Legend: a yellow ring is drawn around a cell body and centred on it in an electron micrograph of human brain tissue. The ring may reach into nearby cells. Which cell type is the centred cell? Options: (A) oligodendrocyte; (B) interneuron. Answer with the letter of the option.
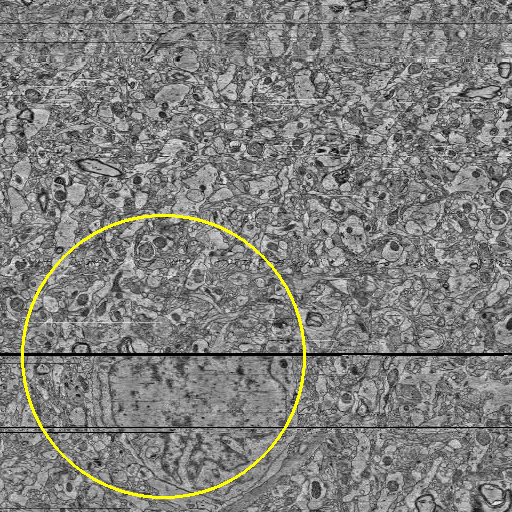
B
